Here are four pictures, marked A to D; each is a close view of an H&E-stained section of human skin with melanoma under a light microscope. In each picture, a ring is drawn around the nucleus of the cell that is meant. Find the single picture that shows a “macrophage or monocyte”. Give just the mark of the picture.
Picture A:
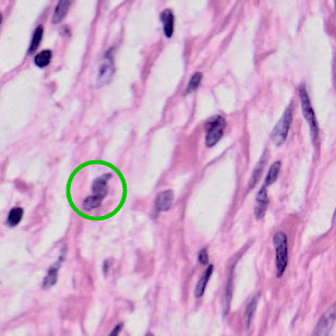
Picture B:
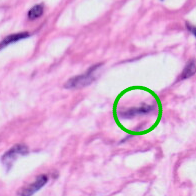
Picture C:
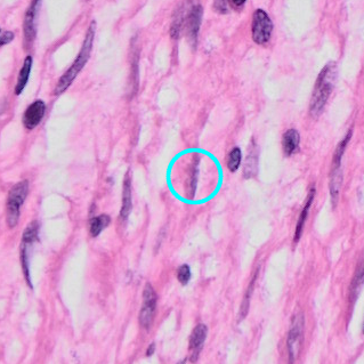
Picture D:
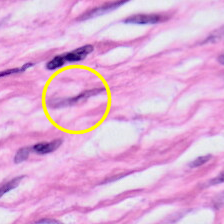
A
